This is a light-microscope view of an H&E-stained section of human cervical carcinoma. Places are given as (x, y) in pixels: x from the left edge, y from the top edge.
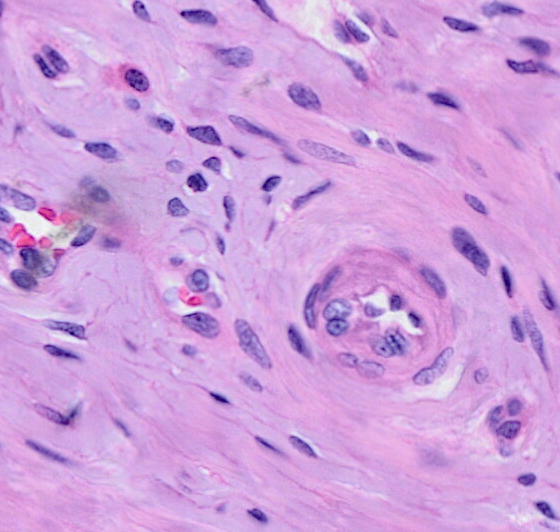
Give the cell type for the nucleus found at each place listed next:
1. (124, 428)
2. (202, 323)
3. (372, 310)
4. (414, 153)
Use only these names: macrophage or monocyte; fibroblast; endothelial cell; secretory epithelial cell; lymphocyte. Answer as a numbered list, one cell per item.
1. fibroblast
2. endothelial cell
3. endothelial cell
4. fibroblast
